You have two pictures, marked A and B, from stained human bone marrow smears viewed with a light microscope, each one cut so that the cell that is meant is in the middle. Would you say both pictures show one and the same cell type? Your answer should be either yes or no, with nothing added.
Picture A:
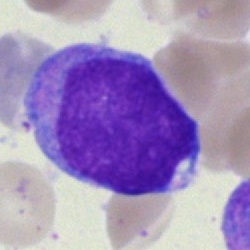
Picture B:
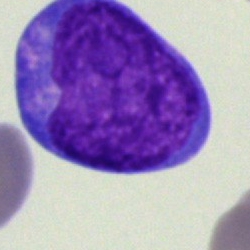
yes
